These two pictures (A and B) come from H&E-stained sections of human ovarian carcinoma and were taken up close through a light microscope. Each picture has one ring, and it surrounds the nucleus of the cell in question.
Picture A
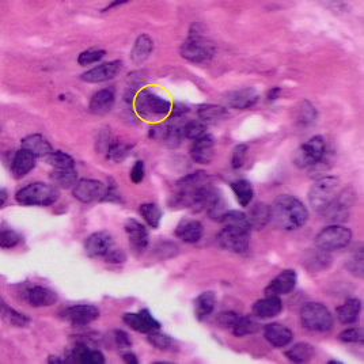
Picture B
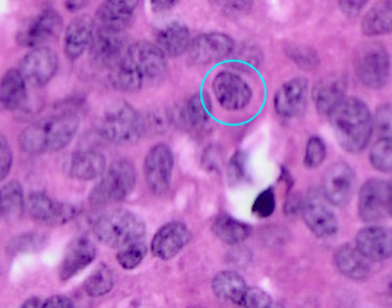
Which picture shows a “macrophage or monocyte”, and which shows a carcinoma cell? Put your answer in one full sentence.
It is picture A that shows a carcinoma cell, and picture B that shows a “macrophage or monocyte”.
